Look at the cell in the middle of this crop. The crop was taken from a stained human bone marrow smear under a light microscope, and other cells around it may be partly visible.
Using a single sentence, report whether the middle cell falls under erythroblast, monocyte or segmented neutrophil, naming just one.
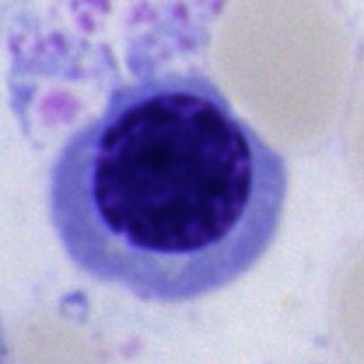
The cell sitting right in the middle is an erythroblast.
